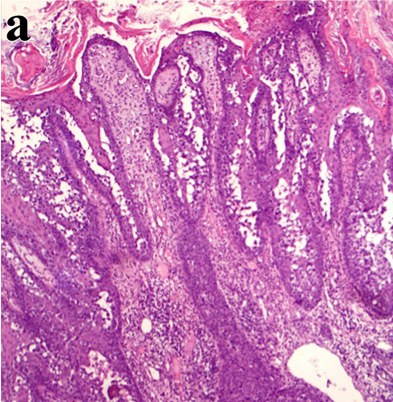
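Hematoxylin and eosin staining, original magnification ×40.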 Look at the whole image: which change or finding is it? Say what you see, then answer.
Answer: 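The epidermis is thickened with long downward projections into the dermis.
Answer: Epidermal hyperplasia and hyperkeratosis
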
